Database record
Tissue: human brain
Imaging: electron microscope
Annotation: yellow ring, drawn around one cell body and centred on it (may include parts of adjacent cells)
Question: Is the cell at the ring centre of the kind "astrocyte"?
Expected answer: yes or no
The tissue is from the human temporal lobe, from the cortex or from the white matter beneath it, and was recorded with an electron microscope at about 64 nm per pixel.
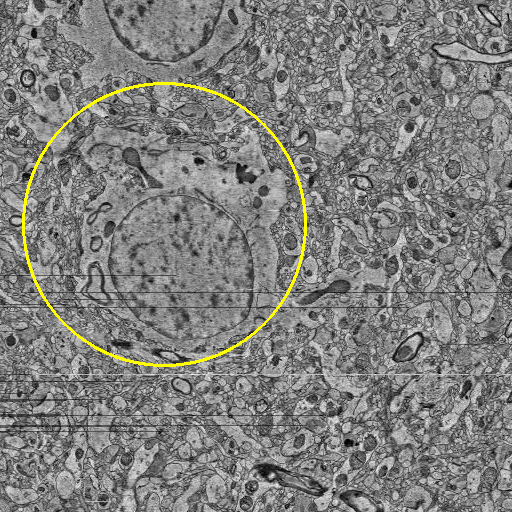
yes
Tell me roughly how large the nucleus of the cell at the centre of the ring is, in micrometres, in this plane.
The nucleus comes to roughly 11 by 9 micrometres in this plane.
